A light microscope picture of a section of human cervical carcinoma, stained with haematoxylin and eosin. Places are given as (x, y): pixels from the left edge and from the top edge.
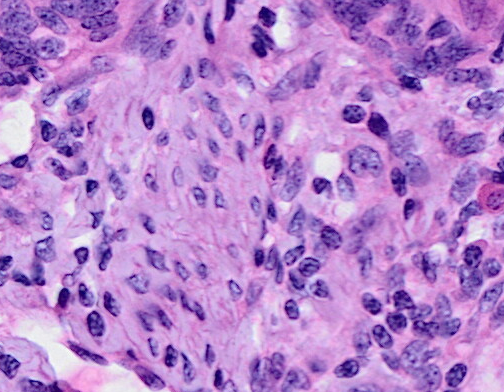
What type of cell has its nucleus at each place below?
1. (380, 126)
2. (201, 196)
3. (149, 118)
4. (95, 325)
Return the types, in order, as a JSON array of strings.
["lymphocyte", "smooth muscle cell", "lymphocyte", "lymphocyte"]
